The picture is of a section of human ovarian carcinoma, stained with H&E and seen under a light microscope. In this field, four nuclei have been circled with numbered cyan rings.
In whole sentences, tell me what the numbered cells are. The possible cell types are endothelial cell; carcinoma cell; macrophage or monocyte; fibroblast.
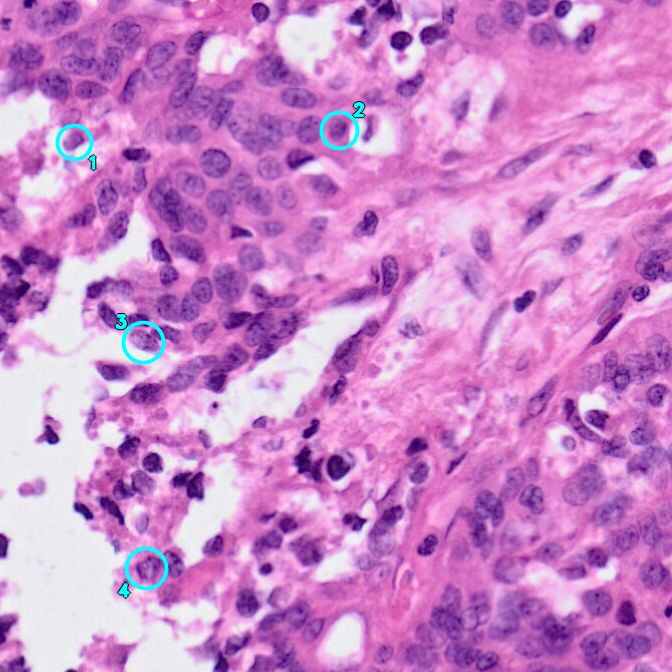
Cell 1 is a carcinoma cell, cell 2 is a carcinoma cell, cell 3 is a carcinoma cell and cell 4 is a macrophage or monocyte.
